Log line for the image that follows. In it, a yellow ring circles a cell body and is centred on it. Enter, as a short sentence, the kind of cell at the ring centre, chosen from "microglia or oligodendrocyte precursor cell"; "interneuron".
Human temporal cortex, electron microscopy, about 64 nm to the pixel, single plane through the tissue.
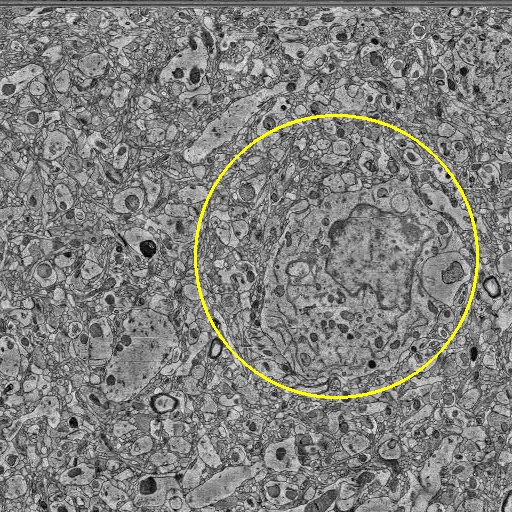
The ring centre is occupied by an interneuron.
